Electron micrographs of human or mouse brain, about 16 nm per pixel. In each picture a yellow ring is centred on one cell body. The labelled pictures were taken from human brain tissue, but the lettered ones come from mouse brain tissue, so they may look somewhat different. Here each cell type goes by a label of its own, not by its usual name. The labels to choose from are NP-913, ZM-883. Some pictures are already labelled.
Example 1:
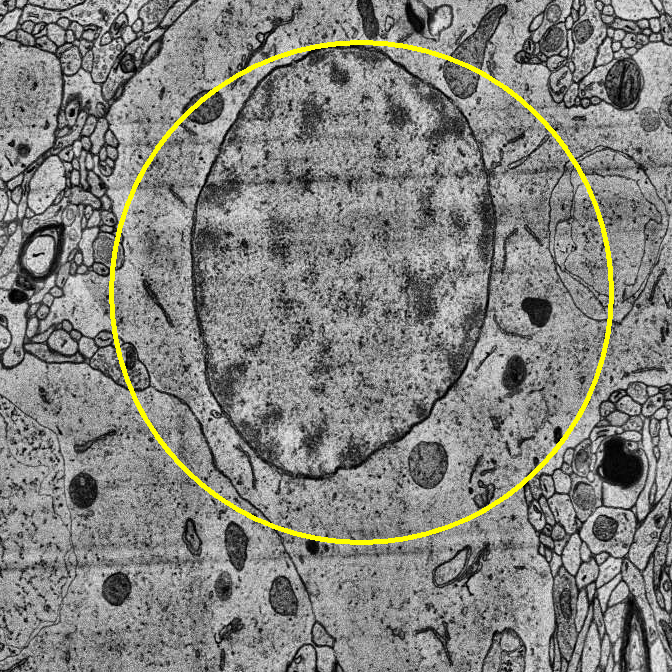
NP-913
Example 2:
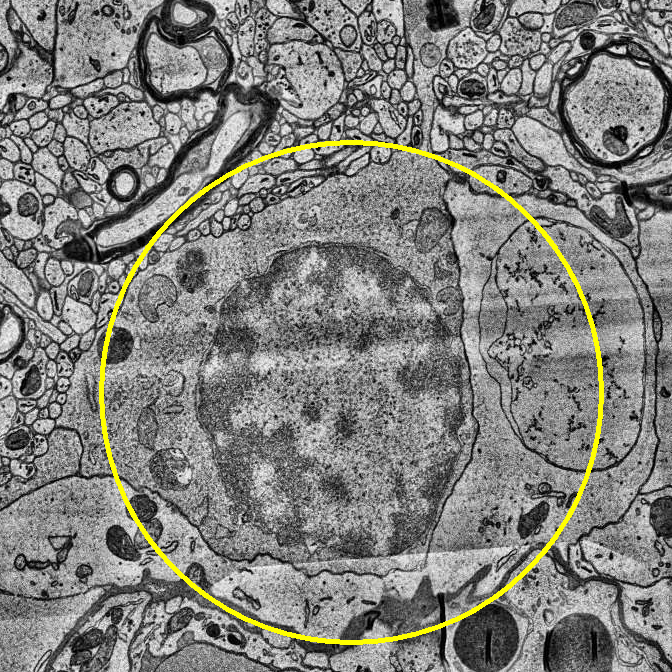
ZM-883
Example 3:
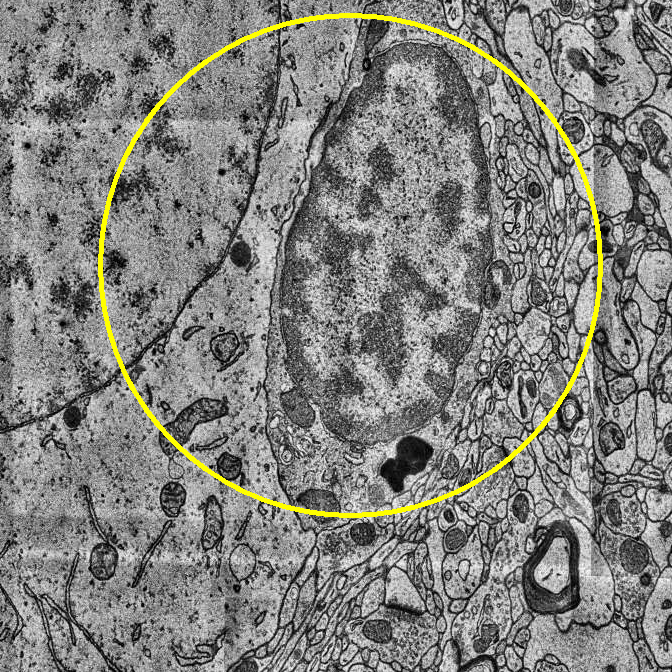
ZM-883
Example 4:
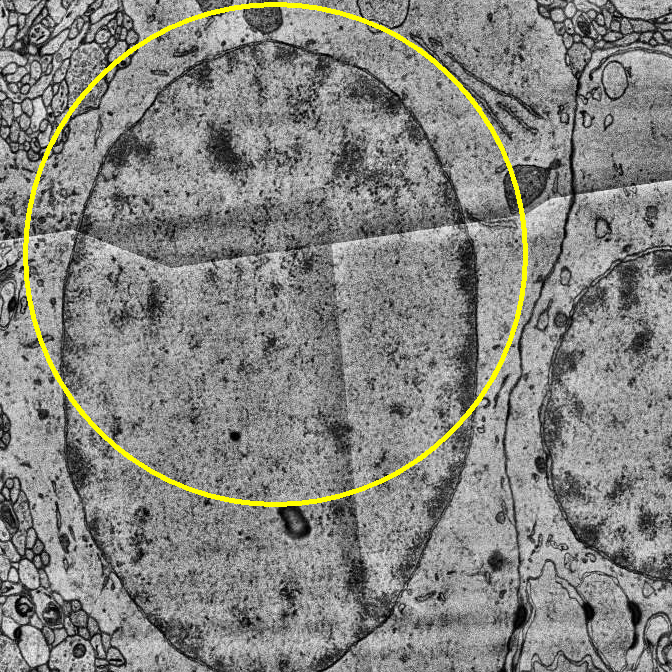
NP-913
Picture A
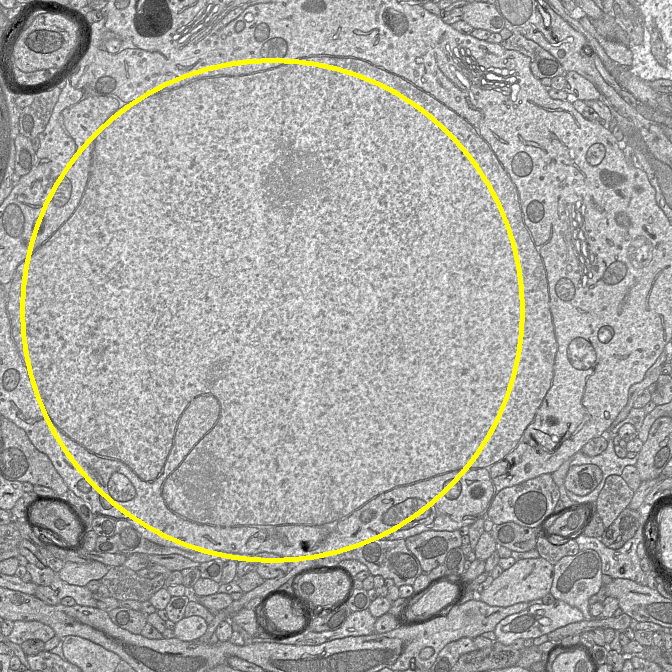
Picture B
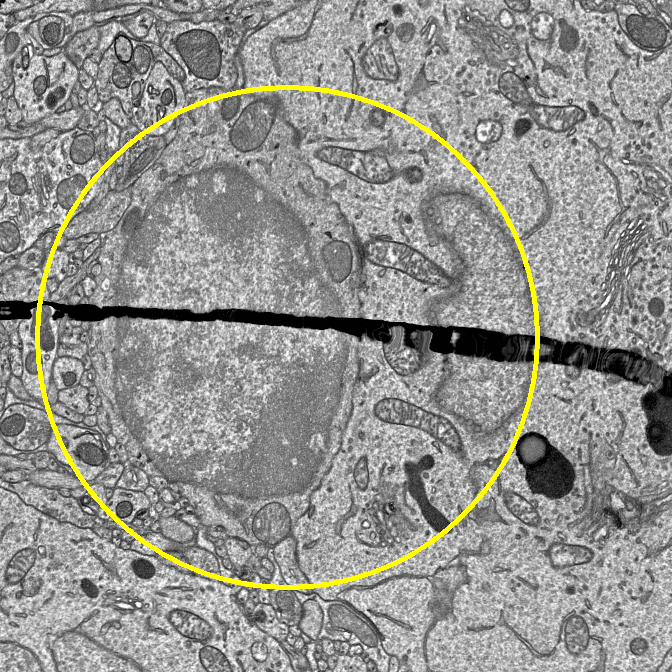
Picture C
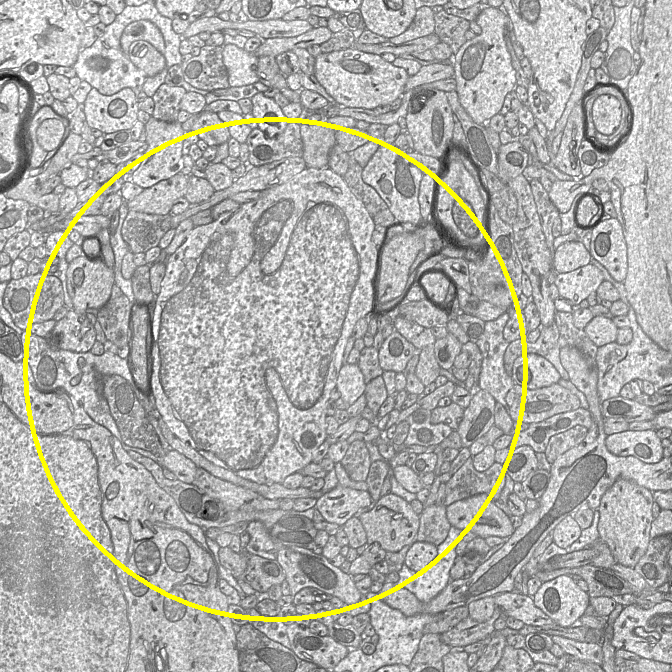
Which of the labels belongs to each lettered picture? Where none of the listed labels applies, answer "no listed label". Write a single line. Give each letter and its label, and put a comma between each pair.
A no listed label, B ZM-883, C ZM-883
